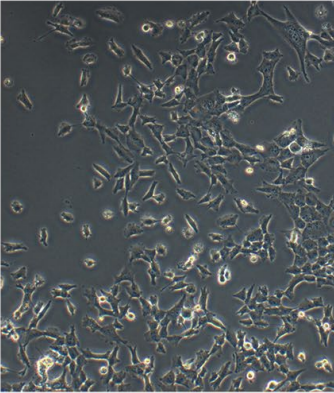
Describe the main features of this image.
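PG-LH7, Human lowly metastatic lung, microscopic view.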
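Cultured cancer cells growing as an adherent layer, partly in loose clusters and partly scattered. Most cells are polygonal to spindle-shaped with several slender cytoplasmic processes. Clustered cells touch one another by their processes, leaving open spaces of bare dish between groups. Scattered among them are small round, bright refractile cells, likely rounded or detaching cells.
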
